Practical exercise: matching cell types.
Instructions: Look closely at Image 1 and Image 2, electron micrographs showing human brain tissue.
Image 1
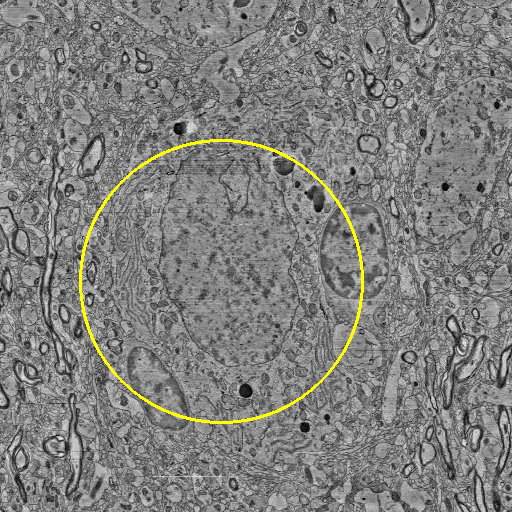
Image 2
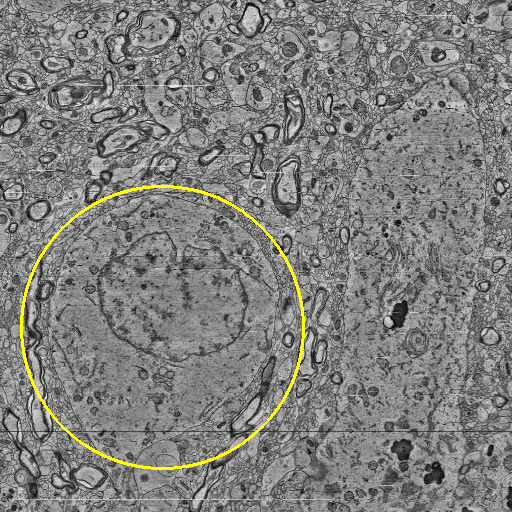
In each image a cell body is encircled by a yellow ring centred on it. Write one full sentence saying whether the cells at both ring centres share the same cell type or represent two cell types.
Across Image 1 and Image 2, the cells at the ring centres share the same cell type.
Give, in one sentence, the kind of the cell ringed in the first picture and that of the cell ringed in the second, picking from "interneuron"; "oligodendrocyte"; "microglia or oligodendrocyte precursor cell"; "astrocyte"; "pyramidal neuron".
In the first picture and in the second, the ring is centred on an interneuron.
